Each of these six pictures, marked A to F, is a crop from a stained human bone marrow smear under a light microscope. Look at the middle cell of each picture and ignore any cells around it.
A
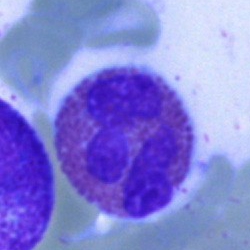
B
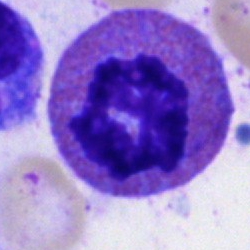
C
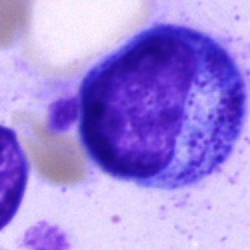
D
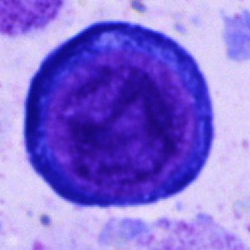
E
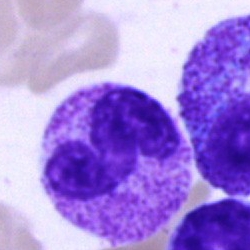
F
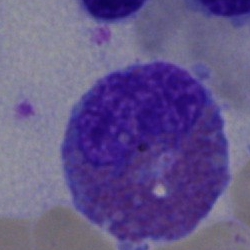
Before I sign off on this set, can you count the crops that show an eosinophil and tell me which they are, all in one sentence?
Depicted in three crops, namely A, B and F, are eosinophils.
